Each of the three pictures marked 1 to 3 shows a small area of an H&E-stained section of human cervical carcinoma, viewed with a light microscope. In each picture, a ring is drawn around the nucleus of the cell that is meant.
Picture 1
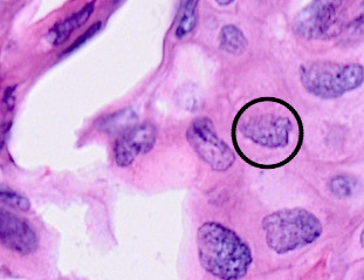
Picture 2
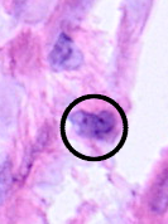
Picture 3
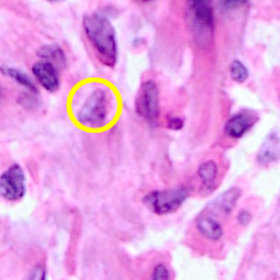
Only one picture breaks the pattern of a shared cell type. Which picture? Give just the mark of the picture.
1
